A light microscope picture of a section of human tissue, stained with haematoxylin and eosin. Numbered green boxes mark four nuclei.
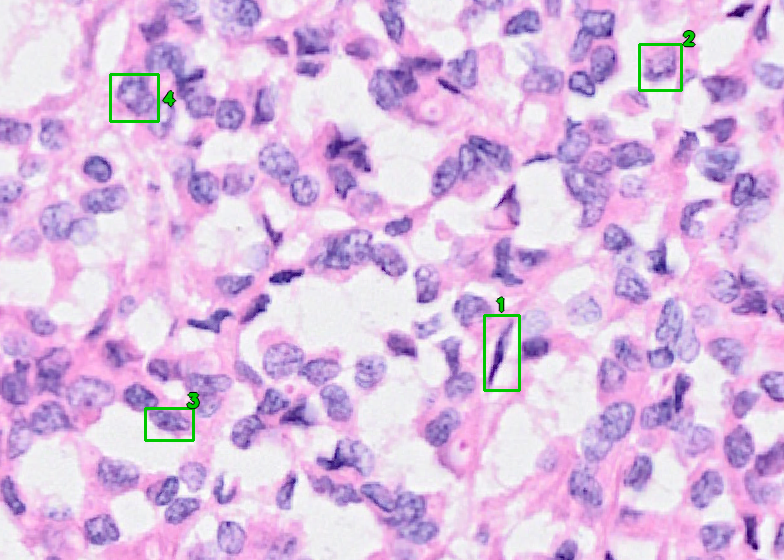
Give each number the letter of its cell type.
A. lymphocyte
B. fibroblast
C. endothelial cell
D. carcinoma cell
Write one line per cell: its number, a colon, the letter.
1: B
2: D
3: D
4: D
